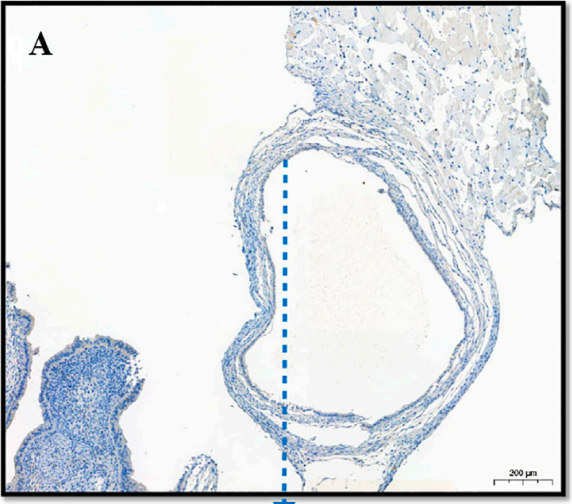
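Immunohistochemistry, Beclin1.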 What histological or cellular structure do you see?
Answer: Cysts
